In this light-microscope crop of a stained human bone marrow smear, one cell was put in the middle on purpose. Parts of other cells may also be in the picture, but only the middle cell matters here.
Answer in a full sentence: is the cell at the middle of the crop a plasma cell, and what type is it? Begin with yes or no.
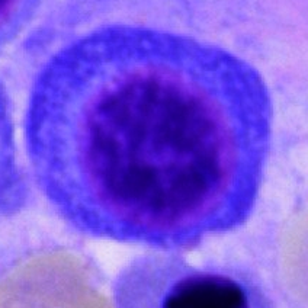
Yes, as regards the cell in the middle, it is a plasma cell.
